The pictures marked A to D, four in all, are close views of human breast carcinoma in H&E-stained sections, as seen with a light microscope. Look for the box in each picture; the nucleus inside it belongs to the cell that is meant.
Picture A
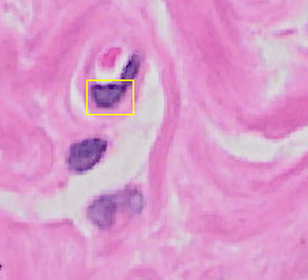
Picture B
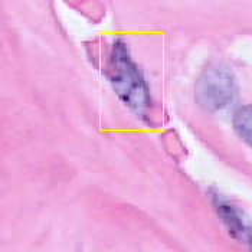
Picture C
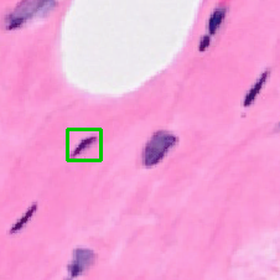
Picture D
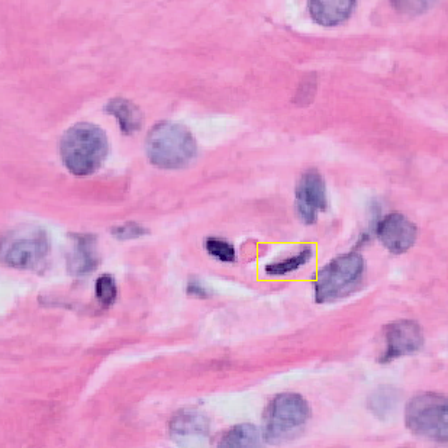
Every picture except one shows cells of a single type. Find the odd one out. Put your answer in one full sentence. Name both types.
Picture C is the odd one out: it shows a fibroblast, while the others show endothelial cells.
